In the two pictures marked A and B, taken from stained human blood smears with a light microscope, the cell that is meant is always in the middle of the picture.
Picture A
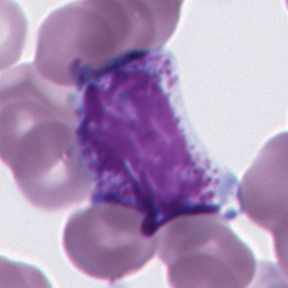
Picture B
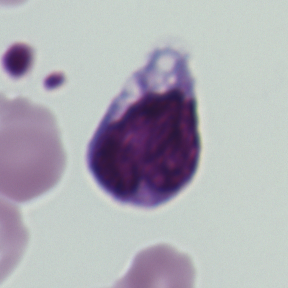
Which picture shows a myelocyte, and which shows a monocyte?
A: myelocyte
B: monocyte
